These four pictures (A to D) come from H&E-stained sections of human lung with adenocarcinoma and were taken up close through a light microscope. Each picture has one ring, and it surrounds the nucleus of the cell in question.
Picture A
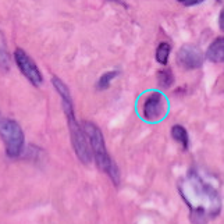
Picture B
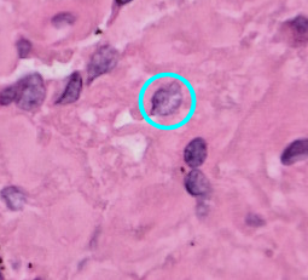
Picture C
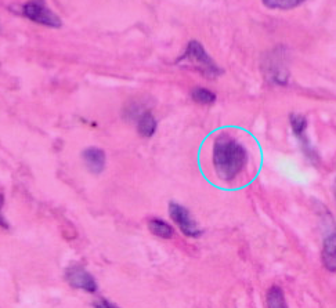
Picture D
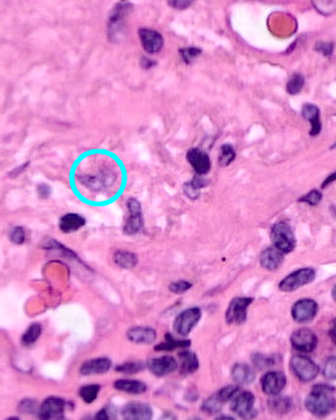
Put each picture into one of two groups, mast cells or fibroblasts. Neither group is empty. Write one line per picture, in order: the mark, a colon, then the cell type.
A: mast cell
B: fibroblast
C: fibroblast
D: fibroblast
